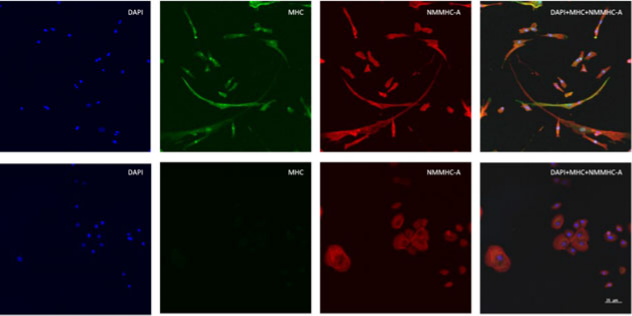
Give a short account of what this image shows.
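Cultured cells are shown in two rows, each split into blue, green, red and merged views. In the upper row the cells are elongated and spindle-shaped with long, thin processes, and their cytoplasm is bright in both green and red, appearing yellow-orange where they overlap; each has a single small blue nucleus. In the lower row the cells are rounded to polygonal and gathered in small clusters, with red cytoplasm around a blue nucleus and almost no green.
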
